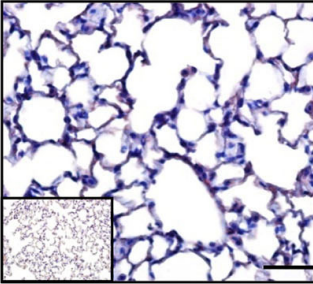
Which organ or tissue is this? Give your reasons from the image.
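Lung. Thin-walled air spaces separated by delicate septa. Septa are lined by flat cells with blue nuclei.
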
